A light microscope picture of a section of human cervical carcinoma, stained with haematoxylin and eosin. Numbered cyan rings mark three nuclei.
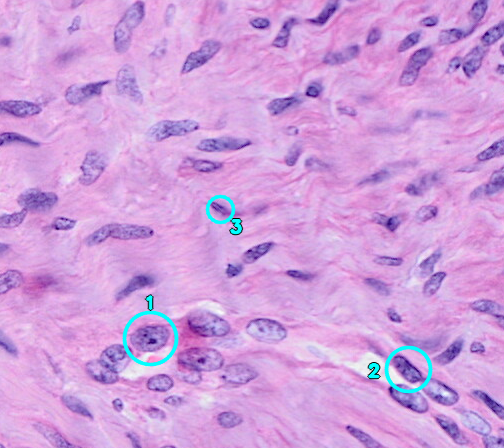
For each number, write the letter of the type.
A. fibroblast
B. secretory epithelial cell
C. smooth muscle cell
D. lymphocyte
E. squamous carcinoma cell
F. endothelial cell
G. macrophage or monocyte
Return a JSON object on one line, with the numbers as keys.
{"1": "F", "2": "F", "3": "C"}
